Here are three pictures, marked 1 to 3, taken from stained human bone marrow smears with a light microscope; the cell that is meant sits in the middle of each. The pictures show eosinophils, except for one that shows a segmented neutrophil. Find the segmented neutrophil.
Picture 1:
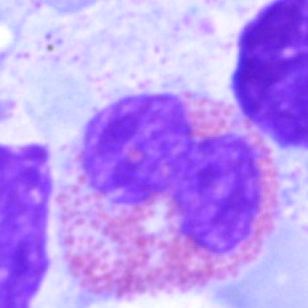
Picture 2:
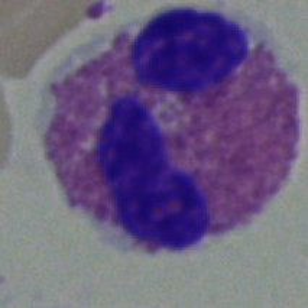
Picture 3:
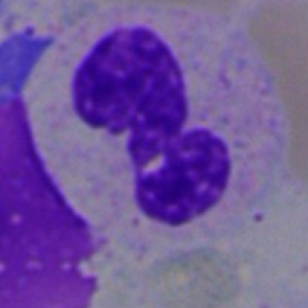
3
